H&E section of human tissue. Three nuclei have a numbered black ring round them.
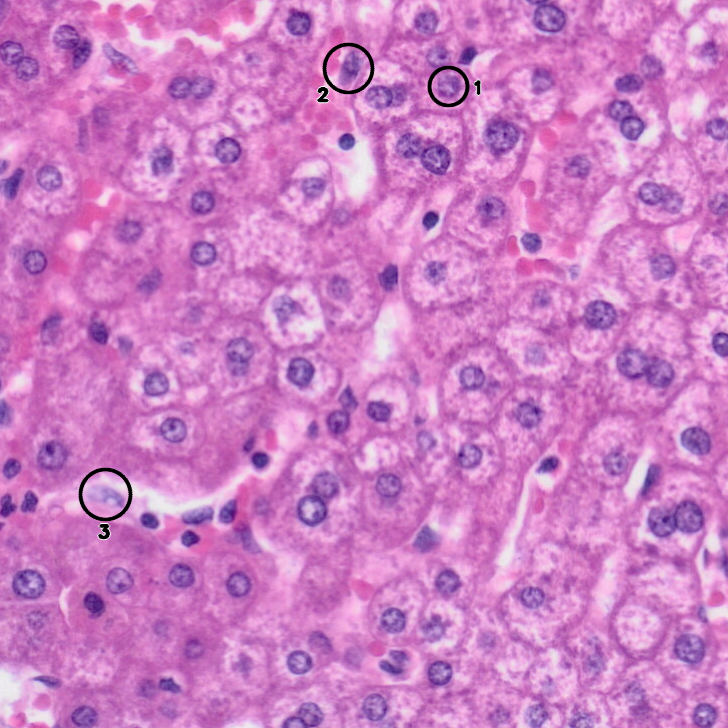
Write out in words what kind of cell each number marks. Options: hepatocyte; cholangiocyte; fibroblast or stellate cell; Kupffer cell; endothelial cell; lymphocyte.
Cell 1 is a hepatocyte. Cells 2 and 3 are Kupffer cells.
